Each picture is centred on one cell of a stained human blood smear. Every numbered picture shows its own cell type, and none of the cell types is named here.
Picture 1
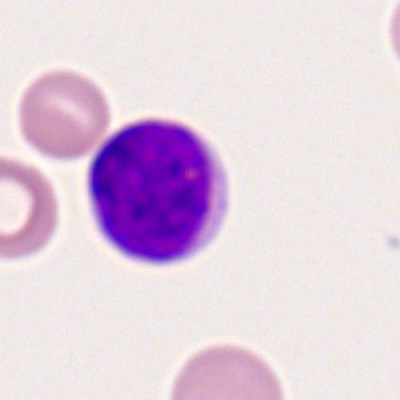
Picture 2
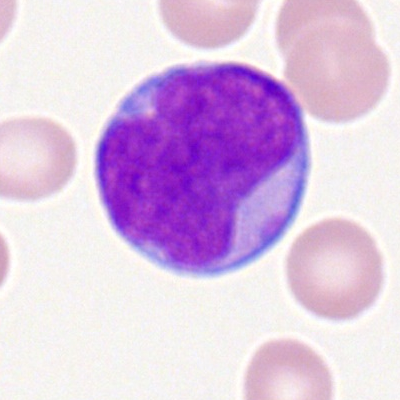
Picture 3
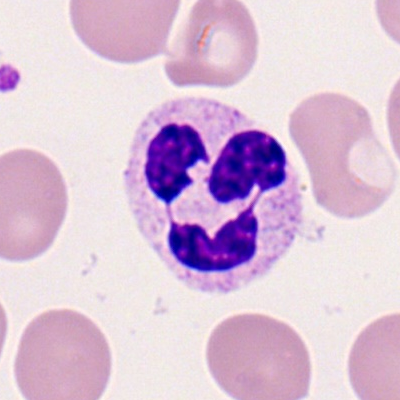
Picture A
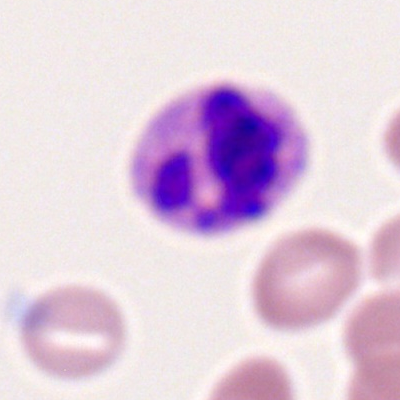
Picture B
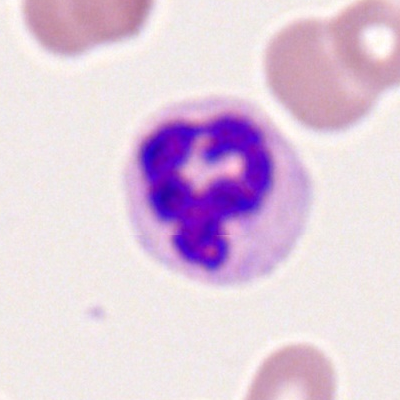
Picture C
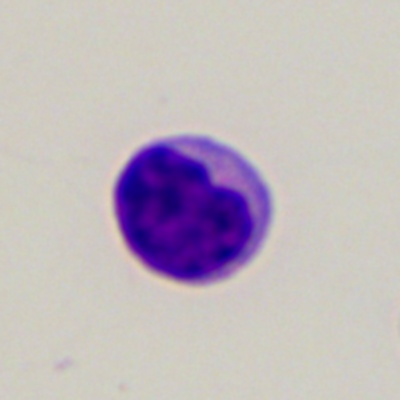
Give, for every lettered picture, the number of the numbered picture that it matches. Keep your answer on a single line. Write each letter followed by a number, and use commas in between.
A 3, B 3, C 1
